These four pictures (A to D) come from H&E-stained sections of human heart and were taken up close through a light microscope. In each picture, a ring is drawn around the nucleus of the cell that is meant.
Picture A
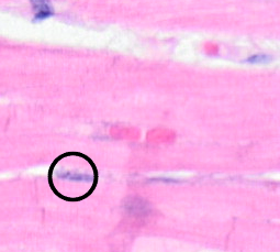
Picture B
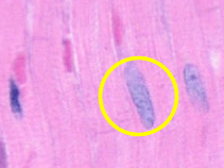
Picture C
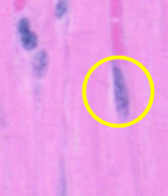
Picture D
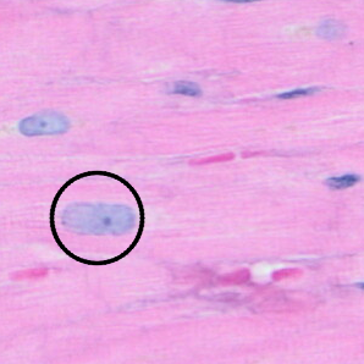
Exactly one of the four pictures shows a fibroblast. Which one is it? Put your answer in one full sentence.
It is picture A that shows the fibroblast.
